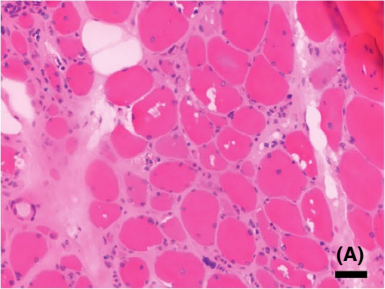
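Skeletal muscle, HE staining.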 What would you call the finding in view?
Vacuoles.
